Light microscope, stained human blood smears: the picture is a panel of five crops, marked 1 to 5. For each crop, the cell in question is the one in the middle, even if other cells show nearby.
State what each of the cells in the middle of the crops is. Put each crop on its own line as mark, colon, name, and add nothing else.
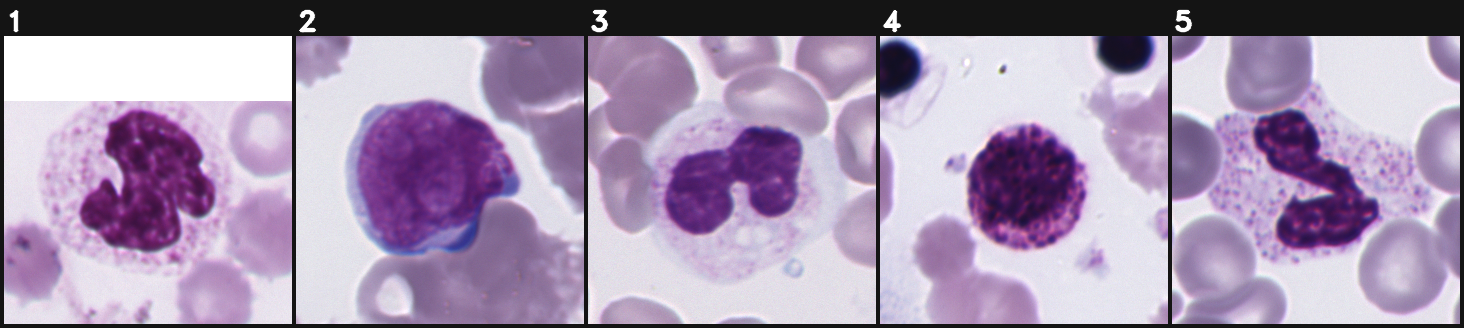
1: segmented neutrophil
2: myeloblast
3: segmented neutrophil
4: basophil
5: segmented neutrophil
